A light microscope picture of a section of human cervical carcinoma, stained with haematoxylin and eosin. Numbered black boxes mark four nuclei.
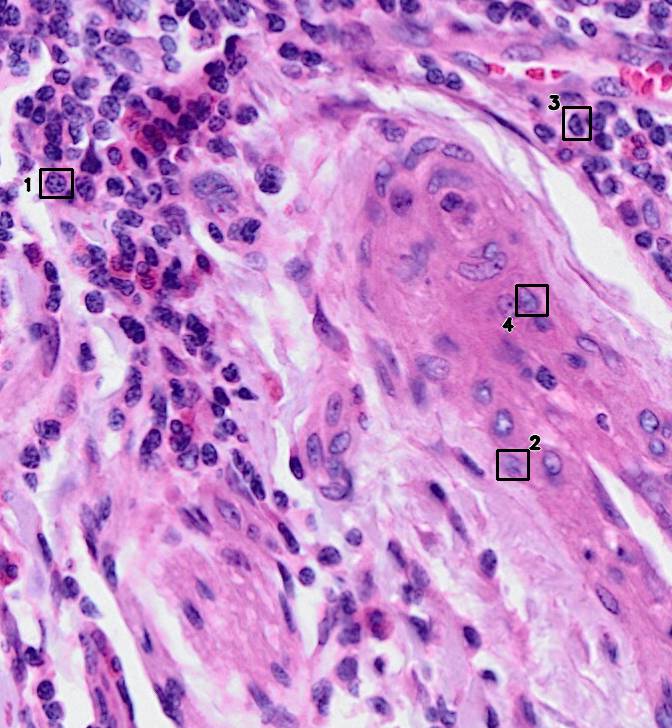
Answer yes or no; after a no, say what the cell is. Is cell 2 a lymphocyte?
No, it is a smooth muscle cell.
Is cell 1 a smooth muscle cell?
No, it is a lymphocyte.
